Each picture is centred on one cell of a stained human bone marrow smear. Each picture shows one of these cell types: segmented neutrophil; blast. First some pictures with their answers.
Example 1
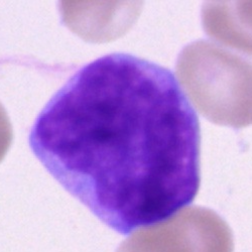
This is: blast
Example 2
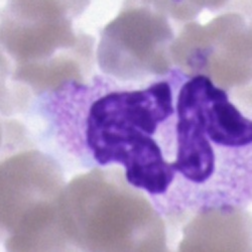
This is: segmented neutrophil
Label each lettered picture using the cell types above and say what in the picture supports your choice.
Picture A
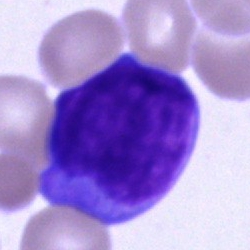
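blast. Reason: The nucleus is a single unlobed mass that fills most of the cell.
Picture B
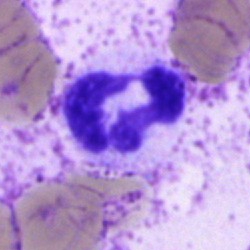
segmented neutrophil. Reason: The nucleus almost fully encircles a pale central gap.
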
